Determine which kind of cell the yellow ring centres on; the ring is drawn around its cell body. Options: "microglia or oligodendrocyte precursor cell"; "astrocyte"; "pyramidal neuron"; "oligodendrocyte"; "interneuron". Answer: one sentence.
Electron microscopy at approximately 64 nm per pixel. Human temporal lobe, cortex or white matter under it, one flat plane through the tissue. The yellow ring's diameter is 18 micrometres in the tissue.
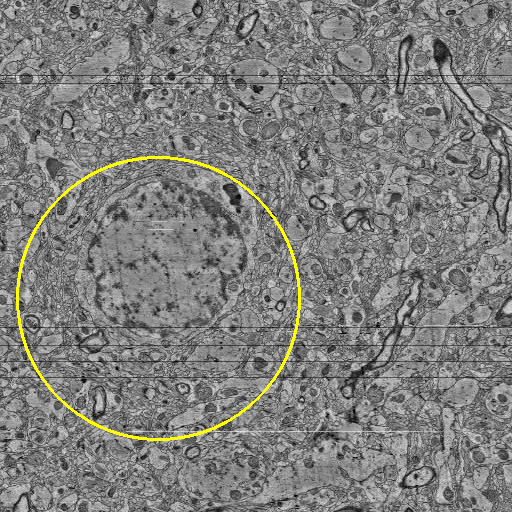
The ring centres on an interneuron.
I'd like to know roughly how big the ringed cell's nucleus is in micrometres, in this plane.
The nucleus comes to roughly 10 micrometres across in this plane.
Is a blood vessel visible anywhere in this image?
No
